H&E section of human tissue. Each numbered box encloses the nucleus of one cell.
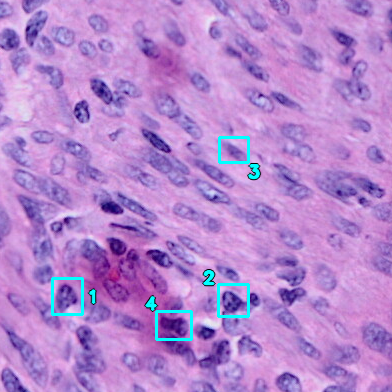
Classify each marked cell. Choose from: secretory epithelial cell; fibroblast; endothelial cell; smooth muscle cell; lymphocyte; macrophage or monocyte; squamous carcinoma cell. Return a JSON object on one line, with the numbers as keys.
{"1": "lymphocyte", "2": "lymphocyte", "3": "smooth muscle cell", "4": "lymphocyte"}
